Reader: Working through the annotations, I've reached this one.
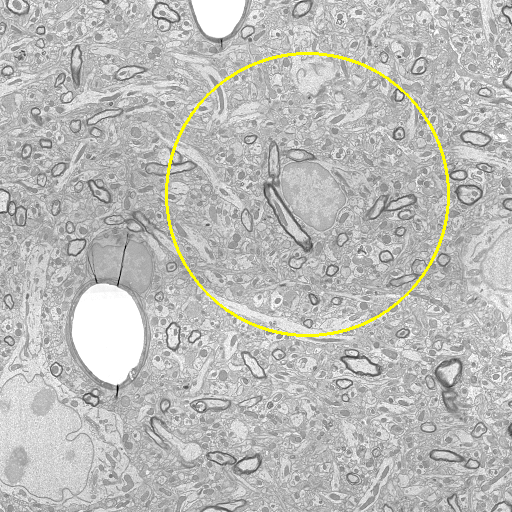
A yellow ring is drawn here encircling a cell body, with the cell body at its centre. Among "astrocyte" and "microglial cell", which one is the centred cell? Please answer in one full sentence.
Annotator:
The cell body at the centre of the yellow ring in this image belongs to a microglial cell.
